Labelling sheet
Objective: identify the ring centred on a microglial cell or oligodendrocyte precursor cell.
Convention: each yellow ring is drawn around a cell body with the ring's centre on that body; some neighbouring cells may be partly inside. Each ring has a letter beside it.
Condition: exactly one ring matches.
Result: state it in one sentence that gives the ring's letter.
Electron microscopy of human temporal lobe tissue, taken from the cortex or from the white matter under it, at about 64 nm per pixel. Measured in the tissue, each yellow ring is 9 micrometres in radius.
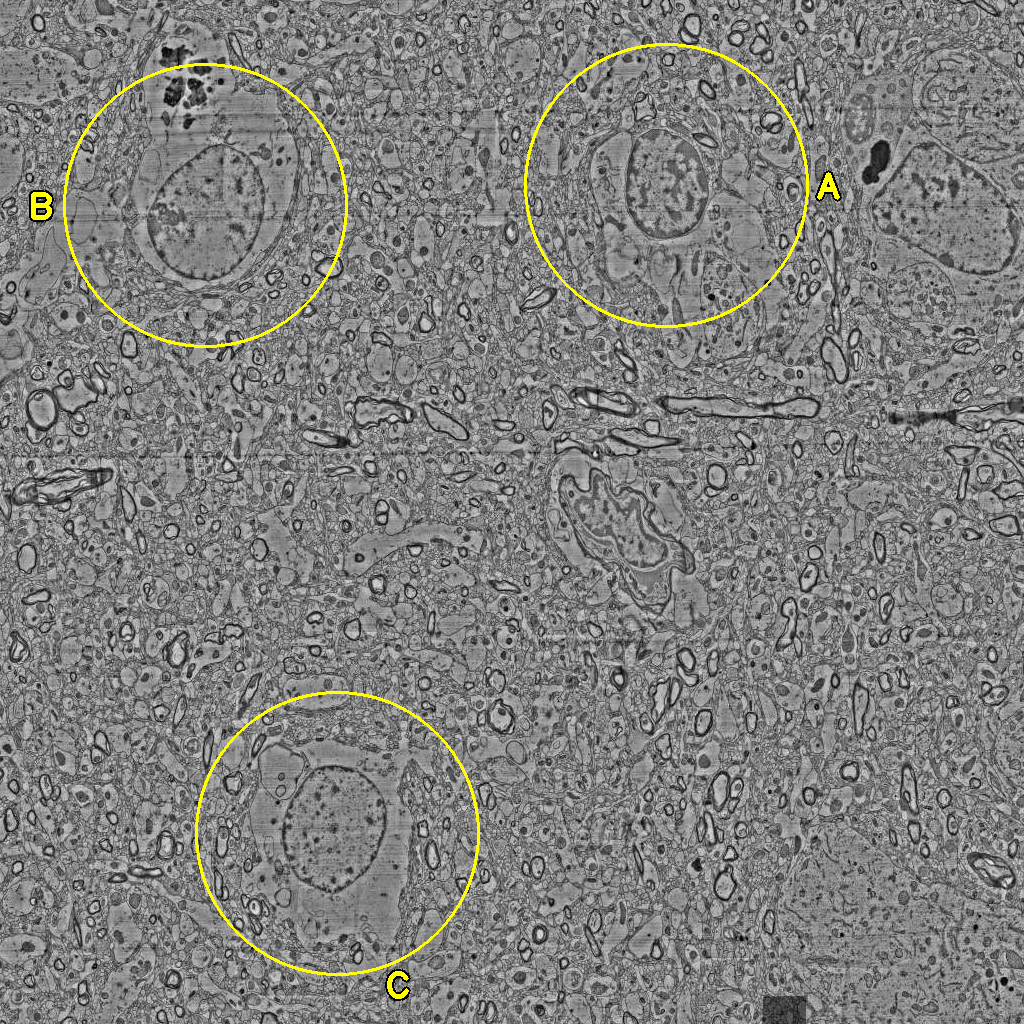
It lies at the centre of ring A.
